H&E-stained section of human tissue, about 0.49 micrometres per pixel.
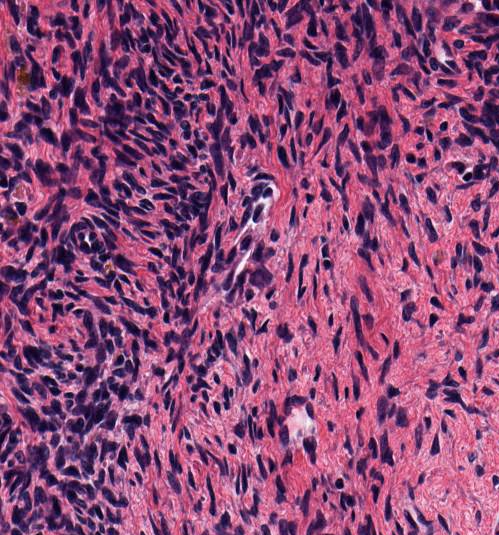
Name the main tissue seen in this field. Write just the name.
ovarian cortex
